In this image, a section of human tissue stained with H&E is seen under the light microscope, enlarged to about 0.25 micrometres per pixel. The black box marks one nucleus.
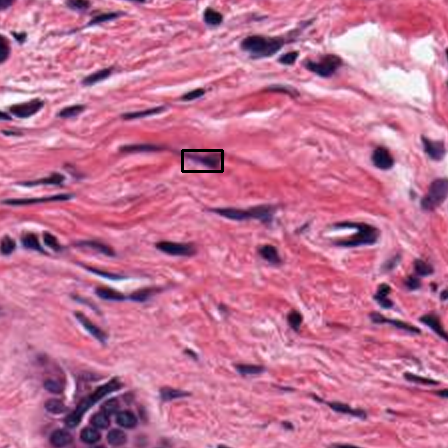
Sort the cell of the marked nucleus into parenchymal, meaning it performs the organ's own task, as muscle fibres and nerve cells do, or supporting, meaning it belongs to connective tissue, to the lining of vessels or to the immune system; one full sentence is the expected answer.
In this field of view, a supporting cell owns the marked nucleus.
